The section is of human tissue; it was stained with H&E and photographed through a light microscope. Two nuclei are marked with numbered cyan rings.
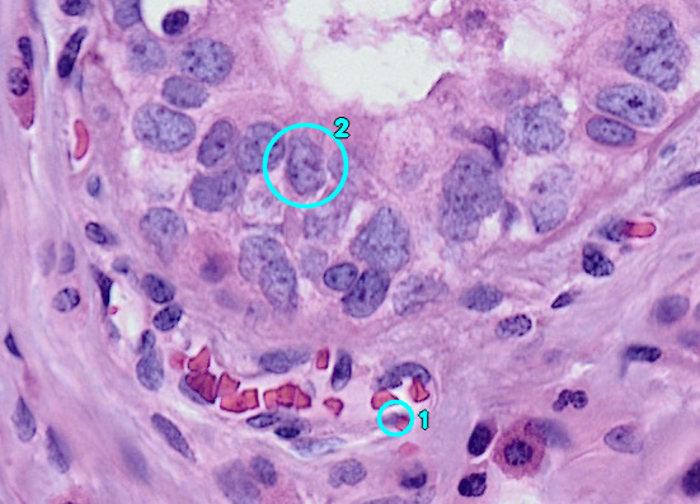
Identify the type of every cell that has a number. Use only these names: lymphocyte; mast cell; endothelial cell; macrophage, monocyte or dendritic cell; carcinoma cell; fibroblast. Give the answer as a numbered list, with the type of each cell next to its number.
1. endothelial cell
2. carcinoma cell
